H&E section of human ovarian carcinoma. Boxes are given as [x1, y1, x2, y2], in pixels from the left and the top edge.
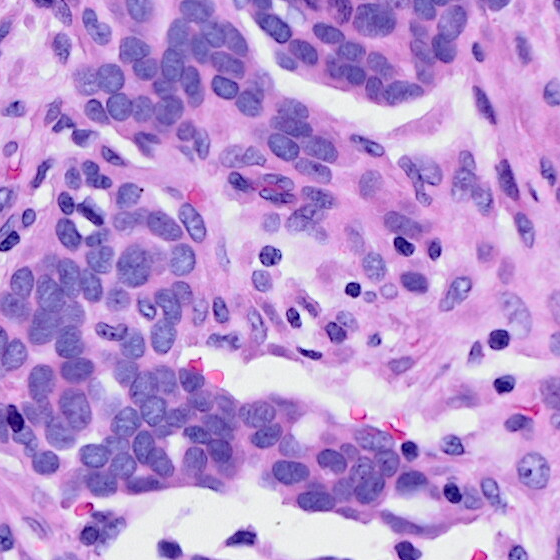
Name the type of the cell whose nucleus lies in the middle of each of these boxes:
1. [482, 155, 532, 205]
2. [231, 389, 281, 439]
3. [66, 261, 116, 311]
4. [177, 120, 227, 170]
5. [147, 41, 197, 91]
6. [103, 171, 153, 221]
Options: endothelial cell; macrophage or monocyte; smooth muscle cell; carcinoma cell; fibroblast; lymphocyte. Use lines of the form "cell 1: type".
cell 1: fibroblast
cell 2: carcinoma cell
cell 3: carcinoma cell
cell 4: fibroblast
cell 5: carcinoma cell
cell 6: carcinoma cell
